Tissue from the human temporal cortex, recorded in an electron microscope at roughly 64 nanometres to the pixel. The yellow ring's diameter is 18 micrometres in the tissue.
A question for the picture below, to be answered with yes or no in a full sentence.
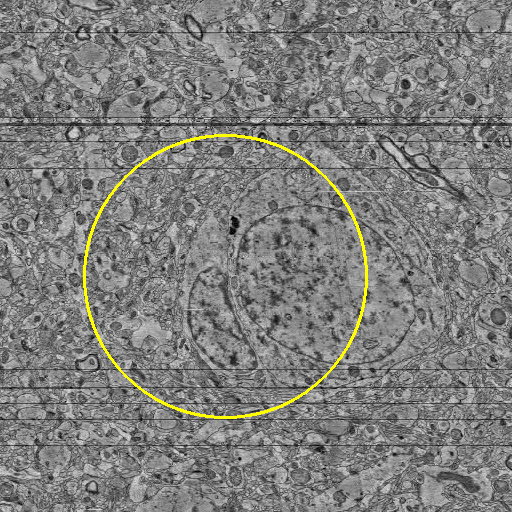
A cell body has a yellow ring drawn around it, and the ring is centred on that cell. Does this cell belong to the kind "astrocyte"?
No, the pictured cell at the ring's centre belongs to another kind.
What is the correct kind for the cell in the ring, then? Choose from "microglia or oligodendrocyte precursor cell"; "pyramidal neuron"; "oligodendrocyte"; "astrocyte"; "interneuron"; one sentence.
As it turns out, the cell at the ring centre is a microglial cell or oligodendrocyte precursor cell.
